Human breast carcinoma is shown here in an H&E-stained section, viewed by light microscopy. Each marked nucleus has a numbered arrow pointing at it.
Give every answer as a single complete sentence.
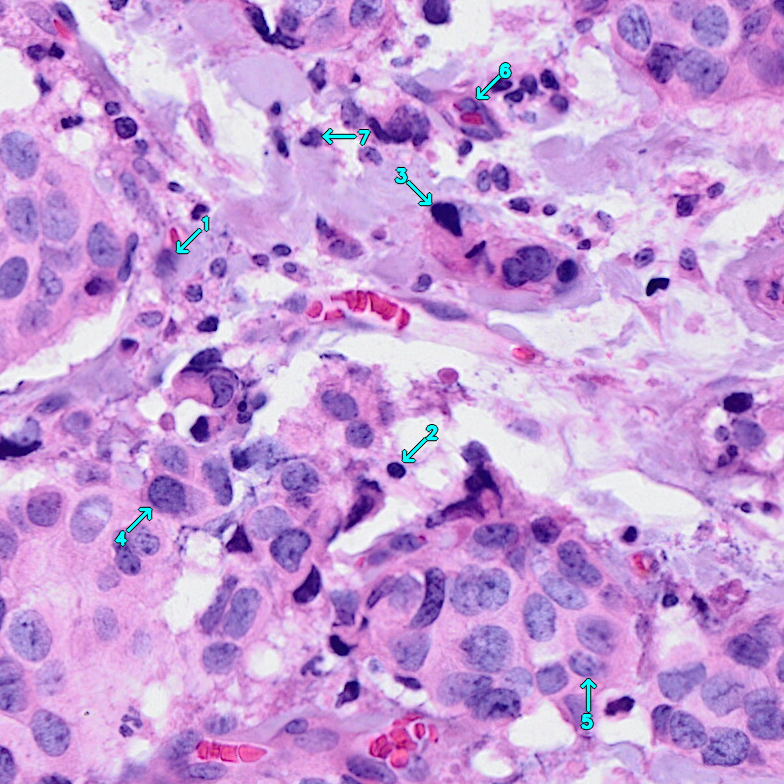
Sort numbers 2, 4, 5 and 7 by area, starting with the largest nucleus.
Largest first, the order by area is 4, 5, 7, 2.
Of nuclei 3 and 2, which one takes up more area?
Number 3 is larger; its area is about 3 times that of number 2.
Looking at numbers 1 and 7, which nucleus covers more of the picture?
Nucleus 1 covers more area, about 1.5 times as much as nucleus 7.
